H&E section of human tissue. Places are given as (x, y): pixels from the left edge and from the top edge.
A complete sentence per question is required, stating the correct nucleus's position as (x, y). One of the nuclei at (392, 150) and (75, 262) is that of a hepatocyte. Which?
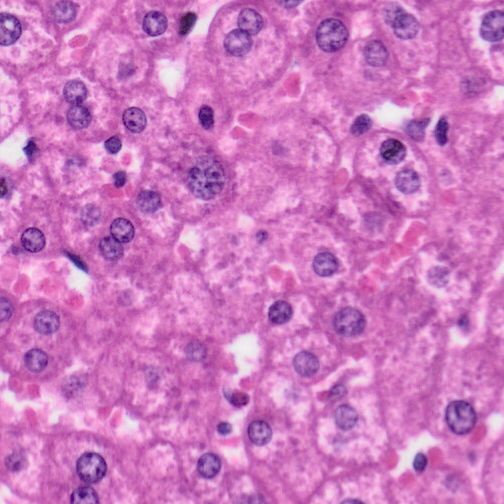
The nucleus of the pair that lies within a hepatocyte is at (392, 150).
